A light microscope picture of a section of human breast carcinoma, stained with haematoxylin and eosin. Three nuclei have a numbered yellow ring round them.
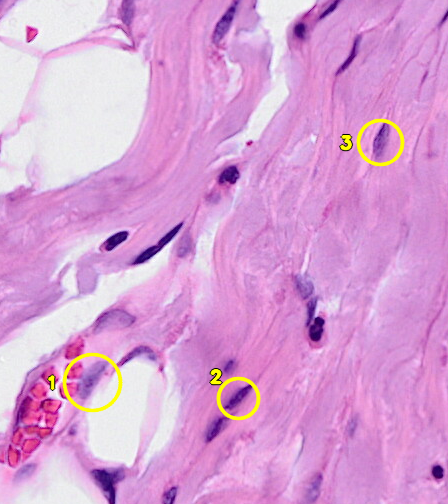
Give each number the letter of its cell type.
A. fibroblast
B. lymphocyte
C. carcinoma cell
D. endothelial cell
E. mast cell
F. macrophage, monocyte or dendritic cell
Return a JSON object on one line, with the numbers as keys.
{"1": "D", "2": "A", "3": "A"}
